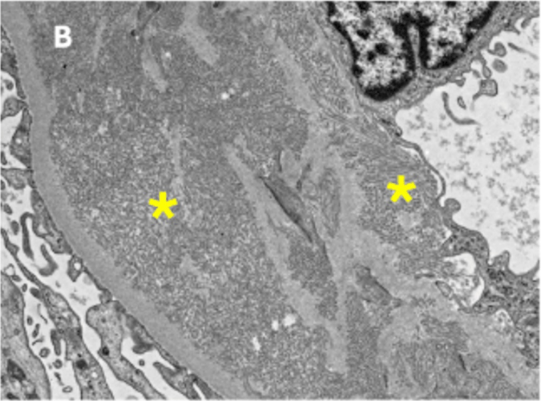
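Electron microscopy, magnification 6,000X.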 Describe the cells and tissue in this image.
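This is an electron micrograph of a glomerular capillary wall, thickened by a large deposit. A broad band of medium-grey material with a fine, speckled to tubular texture, marked by the asterisks, lies on the inner, lumen side of the basement membrane, under the endothelium. At the upper right, a dark cell nucleus and an open capillary lumen lie beside it. Along the left edge, the outer surface of the wall carries small epithelial foot processes. The deposit is far wider than a normal capillary wall, and its texture shows it is organized rather than smooth.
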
